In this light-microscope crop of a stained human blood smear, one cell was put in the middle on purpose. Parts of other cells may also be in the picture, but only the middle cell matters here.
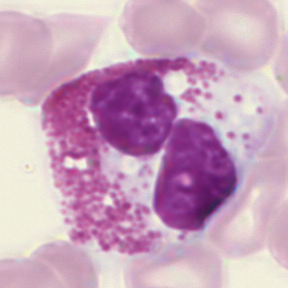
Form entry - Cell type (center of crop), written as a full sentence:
Occupying the centre of the crop is an eosinophil.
